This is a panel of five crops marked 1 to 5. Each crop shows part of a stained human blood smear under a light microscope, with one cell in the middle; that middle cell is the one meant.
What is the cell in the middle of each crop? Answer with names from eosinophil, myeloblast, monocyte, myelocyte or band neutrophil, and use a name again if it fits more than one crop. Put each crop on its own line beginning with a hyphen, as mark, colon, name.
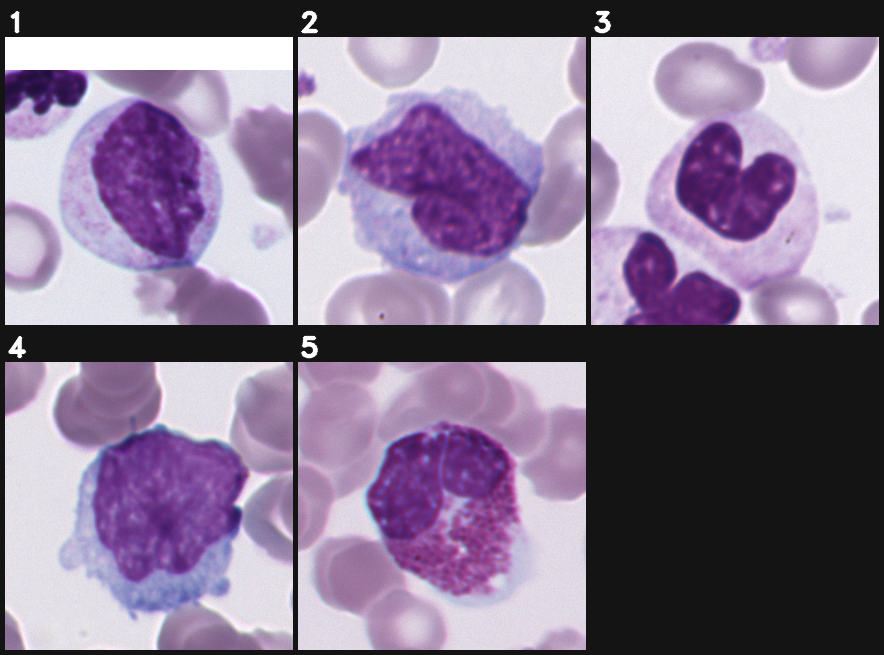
- 1: myelocyte
- 2: monocyte
- 3: band neutrophil
- 4: myeloblast
- 5: eosinophil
